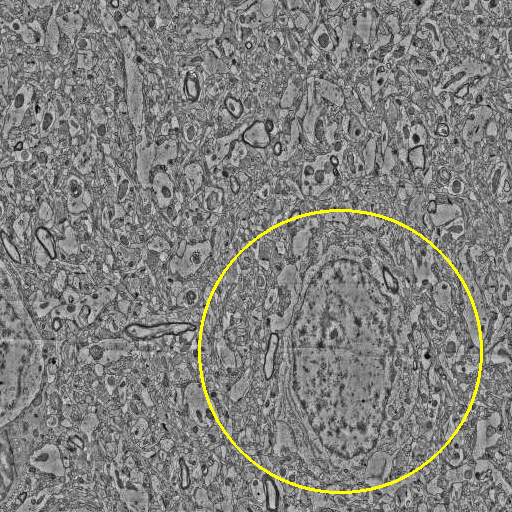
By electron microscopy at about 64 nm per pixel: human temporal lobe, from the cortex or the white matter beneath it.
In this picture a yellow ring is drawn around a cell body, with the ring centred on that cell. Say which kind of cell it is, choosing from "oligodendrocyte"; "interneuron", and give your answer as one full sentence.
Here it is an interneuron that sits at the centre of the drawn yellow ring.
